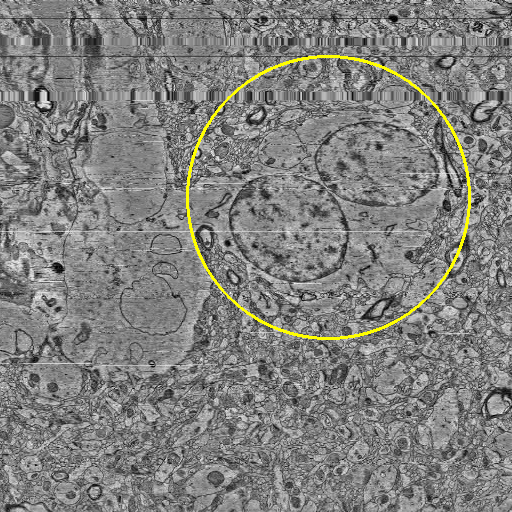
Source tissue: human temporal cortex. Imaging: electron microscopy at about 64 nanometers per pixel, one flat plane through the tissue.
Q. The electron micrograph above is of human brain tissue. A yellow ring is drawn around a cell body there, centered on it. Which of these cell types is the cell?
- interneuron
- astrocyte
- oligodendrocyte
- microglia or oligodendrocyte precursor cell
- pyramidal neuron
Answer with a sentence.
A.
The cell under the ring's center is an astrocyte.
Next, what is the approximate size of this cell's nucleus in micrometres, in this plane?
The nucleus has a long axis of about 8 micrometres and a short axis of about 7 micrometres in this plane.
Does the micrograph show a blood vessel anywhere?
Yes, one is visible.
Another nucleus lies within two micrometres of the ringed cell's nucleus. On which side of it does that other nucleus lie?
That other nucleus lies to the upper right of it.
